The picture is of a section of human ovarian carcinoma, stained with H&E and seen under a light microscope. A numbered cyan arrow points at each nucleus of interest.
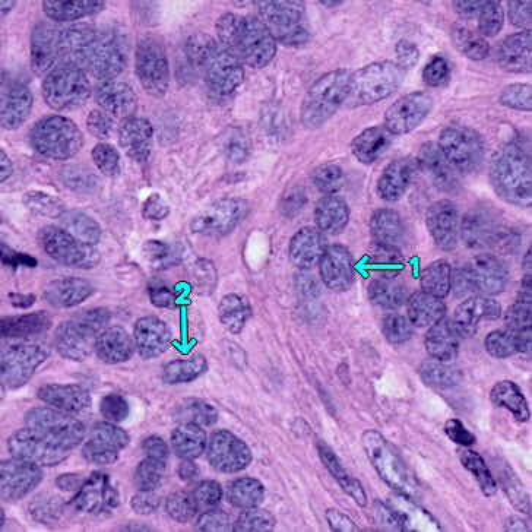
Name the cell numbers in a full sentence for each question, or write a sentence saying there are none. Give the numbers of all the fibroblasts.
Only at number 2 is there a fibroblast among the marked cells.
